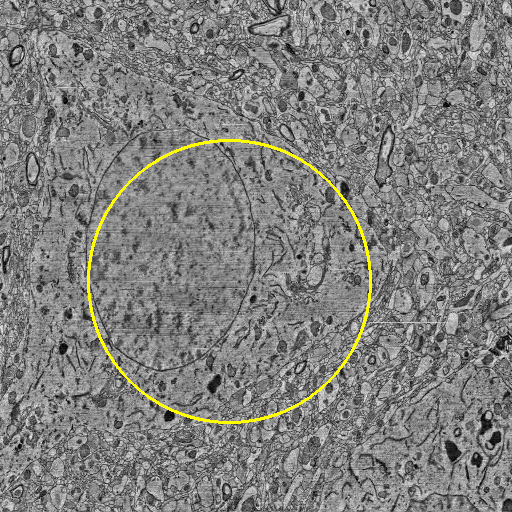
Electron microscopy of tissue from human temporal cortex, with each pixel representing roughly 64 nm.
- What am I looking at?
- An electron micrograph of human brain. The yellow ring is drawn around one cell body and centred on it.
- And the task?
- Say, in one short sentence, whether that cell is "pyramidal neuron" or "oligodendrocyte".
The cell in the middle of the ring is a pyramidal neuron.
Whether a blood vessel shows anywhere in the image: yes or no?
No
